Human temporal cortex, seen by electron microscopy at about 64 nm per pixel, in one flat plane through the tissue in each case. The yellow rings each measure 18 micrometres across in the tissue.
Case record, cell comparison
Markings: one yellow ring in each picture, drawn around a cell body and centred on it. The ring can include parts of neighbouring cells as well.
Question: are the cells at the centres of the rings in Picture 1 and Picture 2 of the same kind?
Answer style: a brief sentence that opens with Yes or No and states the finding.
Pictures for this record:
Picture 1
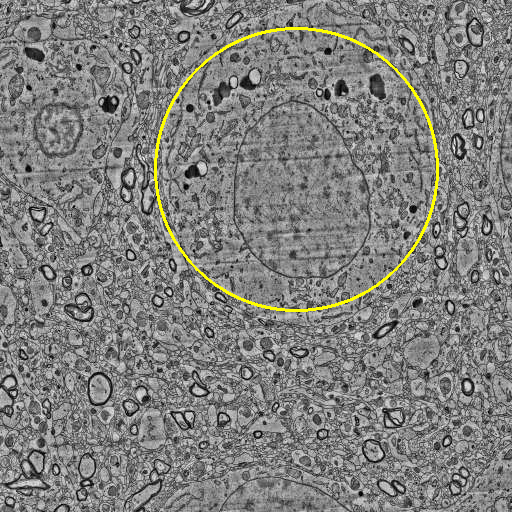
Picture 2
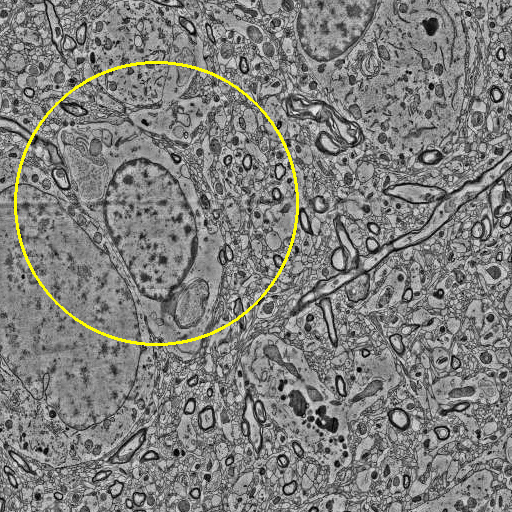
No, the cells in Picture 1 and Picture 2 are of two kinds.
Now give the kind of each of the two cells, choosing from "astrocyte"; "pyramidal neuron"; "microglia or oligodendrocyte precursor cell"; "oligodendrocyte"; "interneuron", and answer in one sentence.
The cell in the first picture is a pyramidal neuron, and the cell in the second is an astrocyte.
